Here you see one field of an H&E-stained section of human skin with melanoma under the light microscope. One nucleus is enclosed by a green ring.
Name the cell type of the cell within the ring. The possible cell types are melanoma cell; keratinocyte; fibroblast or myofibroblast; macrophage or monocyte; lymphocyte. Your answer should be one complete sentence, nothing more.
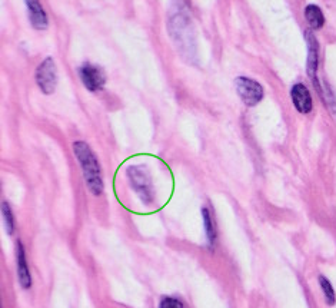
Assigned to a cell type, the cell within the ring is a fibroblast or myofibroblast.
